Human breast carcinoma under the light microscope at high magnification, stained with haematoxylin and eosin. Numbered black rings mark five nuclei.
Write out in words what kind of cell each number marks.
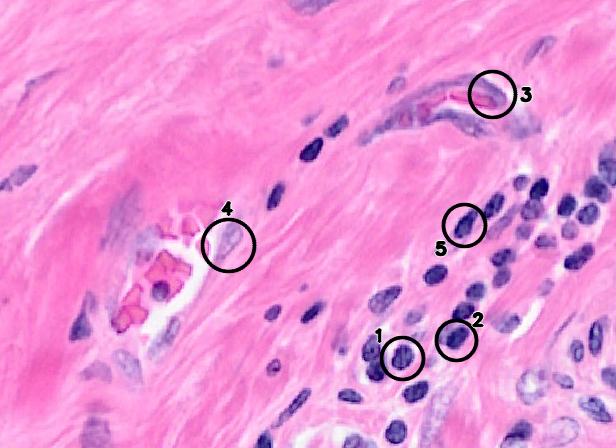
Cell 1 is a lymphocyte, cell 2 is a lymphocyte, cell 3 is an endothelial cell, cell 4 is an endothelial cell and cell 5 is a lymphocyte.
